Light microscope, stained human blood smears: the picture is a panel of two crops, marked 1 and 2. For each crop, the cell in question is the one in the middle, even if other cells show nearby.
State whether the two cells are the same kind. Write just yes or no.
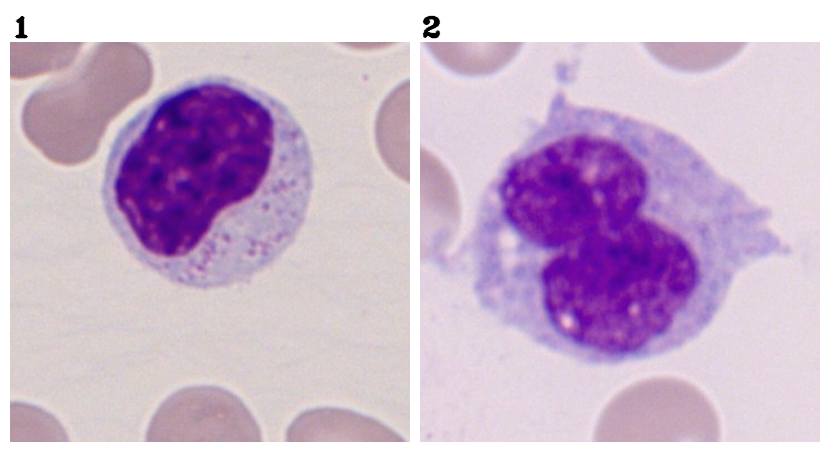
no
